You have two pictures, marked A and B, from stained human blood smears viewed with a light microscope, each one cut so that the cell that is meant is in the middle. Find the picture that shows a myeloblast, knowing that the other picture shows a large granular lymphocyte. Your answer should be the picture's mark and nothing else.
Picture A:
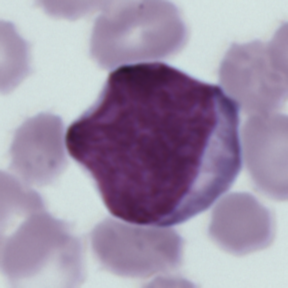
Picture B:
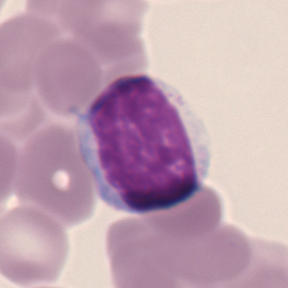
A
